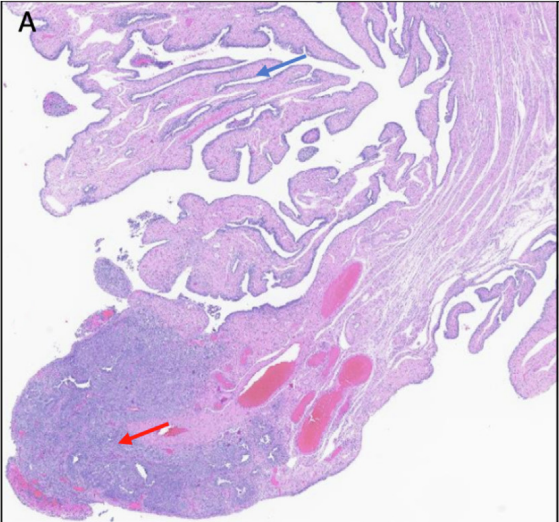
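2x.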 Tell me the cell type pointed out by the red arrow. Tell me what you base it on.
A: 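The arrowed area is a solid, densely cellular purple mass at the tip of a fold. It contrasts with the thin, delicate folds elsewhere in the panel. So: cancerous cells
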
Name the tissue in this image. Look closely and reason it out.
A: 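Many slender branching papillary folds project into an open lumen. A muscular wall curves along one side.
Answer: fimbriated end of the fallopian tube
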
